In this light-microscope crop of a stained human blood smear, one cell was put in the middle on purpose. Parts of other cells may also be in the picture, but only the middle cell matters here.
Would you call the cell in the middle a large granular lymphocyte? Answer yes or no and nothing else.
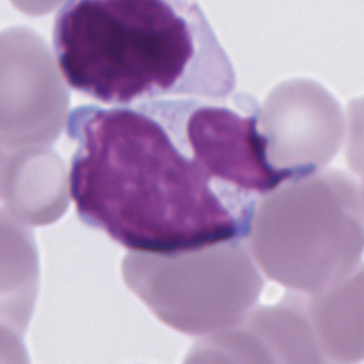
yes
